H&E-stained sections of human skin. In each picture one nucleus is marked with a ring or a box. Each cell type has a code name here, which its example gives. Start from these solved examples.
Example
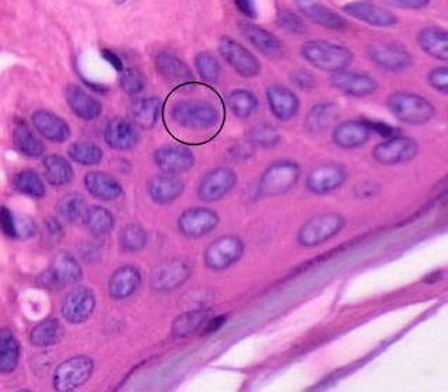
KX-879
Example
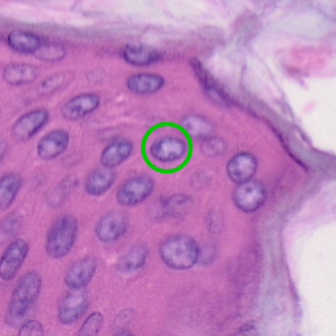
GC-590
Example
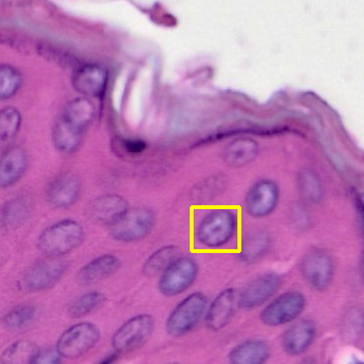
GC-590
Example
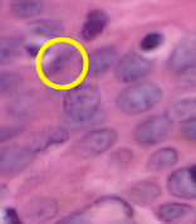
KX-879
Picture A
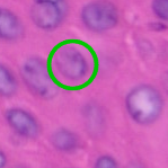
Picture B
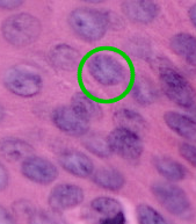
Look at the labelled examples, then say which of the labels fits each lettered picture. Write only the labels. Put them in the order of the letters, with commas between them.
GC-590, GC-590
